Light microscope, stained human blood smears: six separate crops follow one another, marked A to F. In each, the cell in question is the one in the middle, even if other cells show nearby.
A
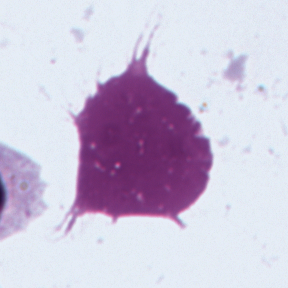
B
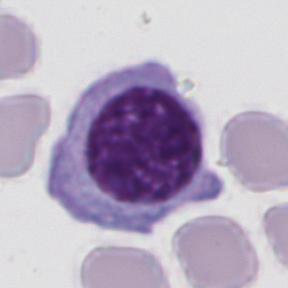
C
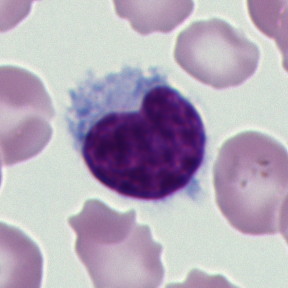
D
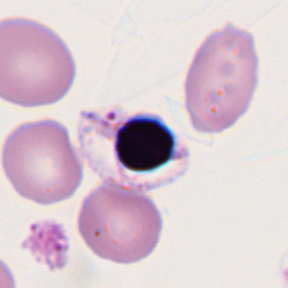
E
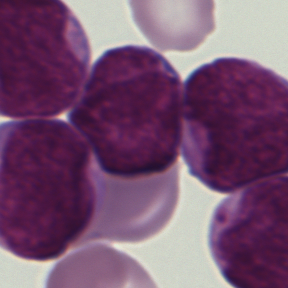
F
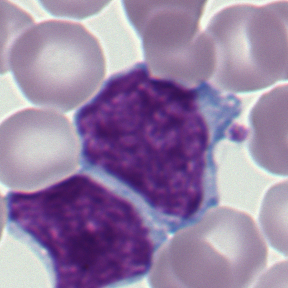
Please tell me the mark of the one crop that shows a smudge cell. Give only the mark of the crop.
A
